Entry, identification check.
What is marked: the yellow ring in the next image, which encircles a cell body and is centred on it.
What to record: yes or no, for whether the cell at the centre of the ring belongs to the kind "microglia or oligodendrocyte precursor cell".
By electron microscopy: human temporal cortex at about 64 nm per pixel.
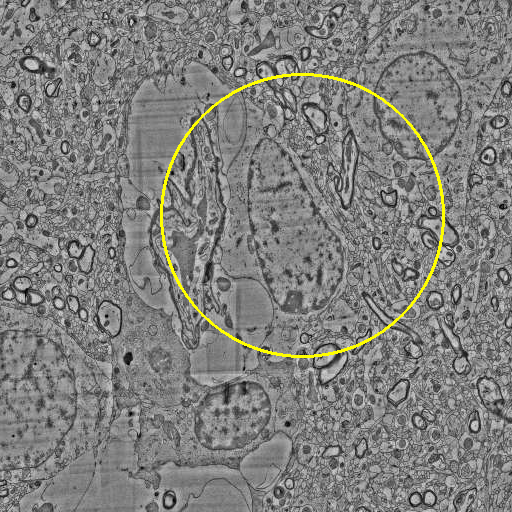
Yes, it belongs to that kind.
